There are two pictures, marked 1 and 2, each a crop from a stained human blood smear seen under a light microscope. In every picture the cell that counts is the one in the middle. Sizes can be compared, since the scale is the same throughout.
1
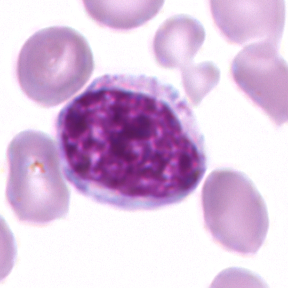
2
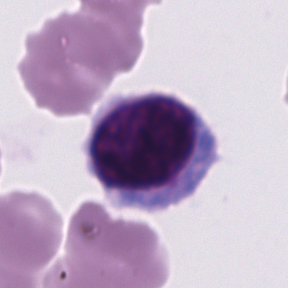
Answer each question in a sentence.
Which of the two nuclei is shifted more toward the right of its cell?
Seen within its cell, the nucleus in picture 1 lies further toward the right.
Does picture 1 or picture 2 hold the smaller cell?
The cell in picture 2 is smaller; the one in picture 1 has about 1.5 times its area.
